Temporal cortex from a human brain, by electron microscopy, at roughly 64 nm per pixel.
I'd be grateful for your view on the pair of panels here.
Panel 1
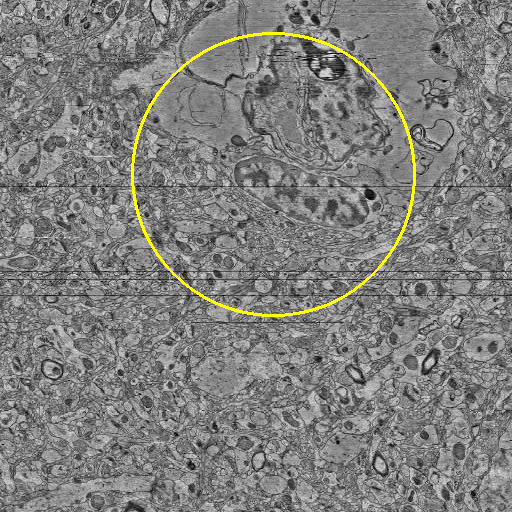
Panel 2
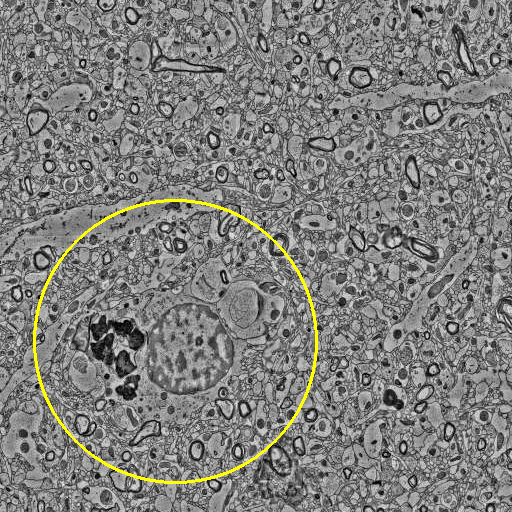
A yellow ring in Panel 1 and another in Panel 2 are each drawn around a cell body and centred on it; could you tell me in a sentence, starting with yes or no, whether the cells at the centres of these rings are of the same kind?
No, they are two kinds of cell.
